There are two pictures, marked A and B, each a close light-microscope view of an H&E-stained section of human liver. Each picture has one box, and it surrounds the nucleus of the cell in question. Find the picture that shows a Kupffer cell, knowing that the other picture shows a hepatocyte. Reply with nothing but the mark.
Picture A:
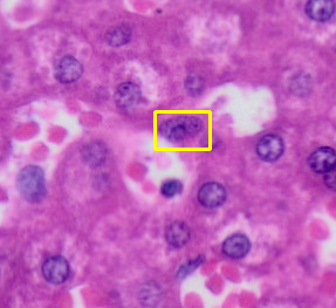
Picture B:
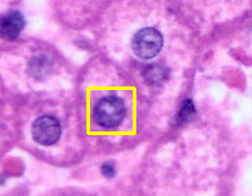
A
